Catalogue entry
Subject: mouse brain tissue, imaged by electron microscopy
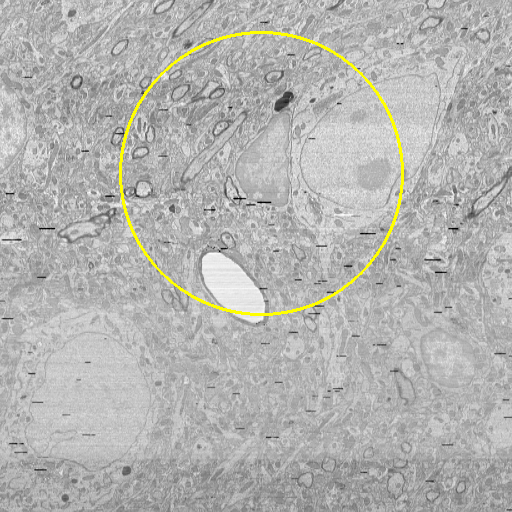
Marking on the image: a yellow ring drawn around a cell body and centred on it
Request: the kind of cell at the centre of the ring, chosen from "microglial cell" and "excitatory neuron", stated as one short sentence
The ring has a microglial cell at its centre.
